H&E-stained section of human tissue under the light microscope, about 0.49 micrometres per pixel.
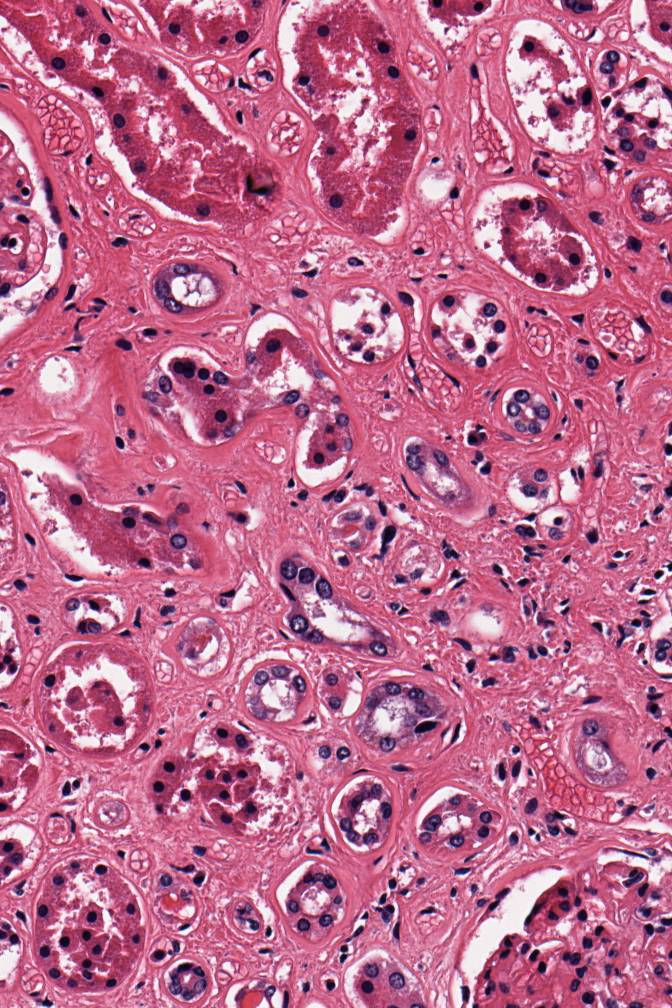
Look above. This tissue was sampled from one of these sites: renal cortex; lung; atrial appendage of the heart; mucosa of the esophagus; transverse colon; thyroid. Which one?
renal cortex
